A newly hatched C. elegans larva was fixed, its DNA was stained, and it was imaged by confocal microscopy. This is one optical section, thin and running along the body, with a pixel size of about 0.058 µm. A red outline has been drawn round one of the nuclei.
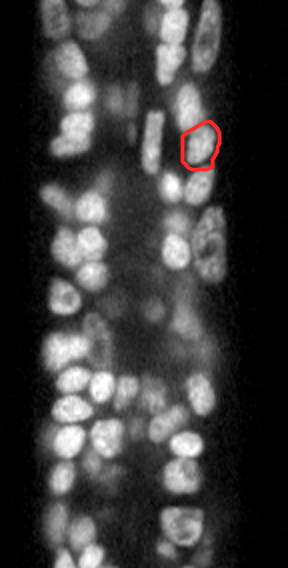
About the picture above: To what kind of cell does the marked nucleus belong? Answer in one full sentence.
The cell with the marked nucleus is a neuron.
